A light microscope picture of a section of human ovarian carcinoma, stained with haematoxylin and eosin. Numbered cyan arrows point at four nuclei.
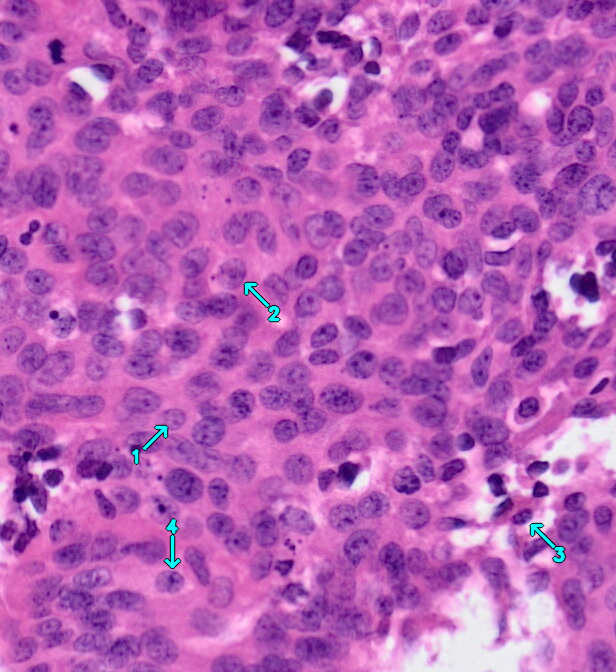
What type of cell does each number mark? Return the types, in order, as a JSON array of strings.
["carcinoma cell", "carcinoma cell", "macrophage or monocyte", "macrophage or monocyte"]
